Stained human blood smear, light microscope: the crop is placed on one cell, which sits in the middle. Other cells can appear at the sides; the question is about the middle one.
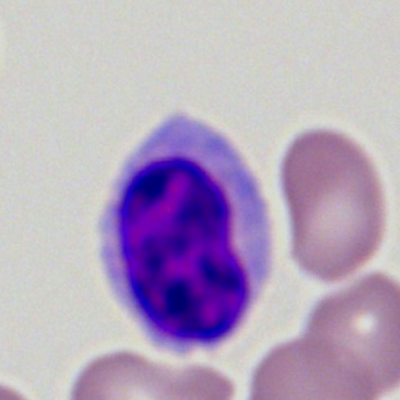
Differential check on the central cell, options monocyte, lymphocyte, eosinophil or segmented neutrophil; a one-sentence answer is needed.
The middle cell in this particular crop is a lymphocyte.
